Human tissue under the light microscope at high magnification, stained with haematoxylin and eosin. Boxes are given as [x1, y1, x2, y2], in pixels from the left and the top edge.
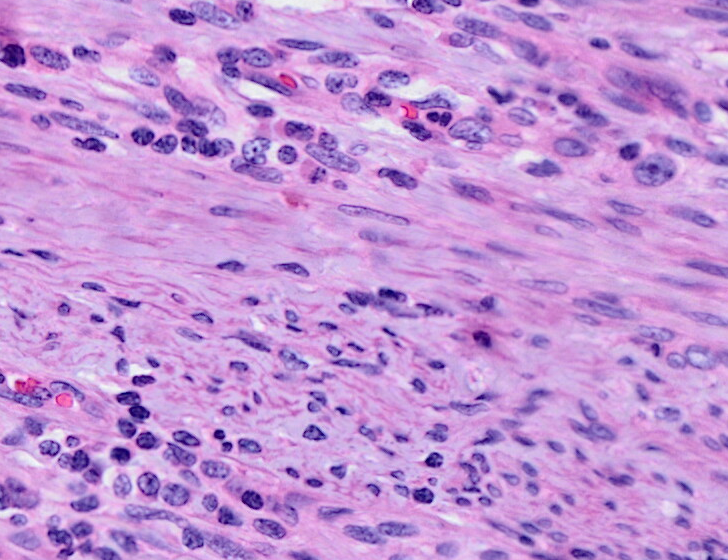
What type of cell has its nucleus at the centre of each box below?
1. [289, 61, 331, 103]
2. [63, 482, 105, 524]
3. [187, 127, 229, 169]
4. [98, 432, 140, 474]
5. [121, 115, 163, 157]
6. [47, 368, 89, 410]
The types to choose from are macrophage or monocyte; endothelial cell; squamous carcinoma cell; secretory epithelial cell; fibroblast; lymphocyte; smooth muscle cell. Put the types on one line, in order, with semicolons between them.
endothelial cell; lymphocyte; lymphocyte; lymphocyte; lymphocyte; endothelial cell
